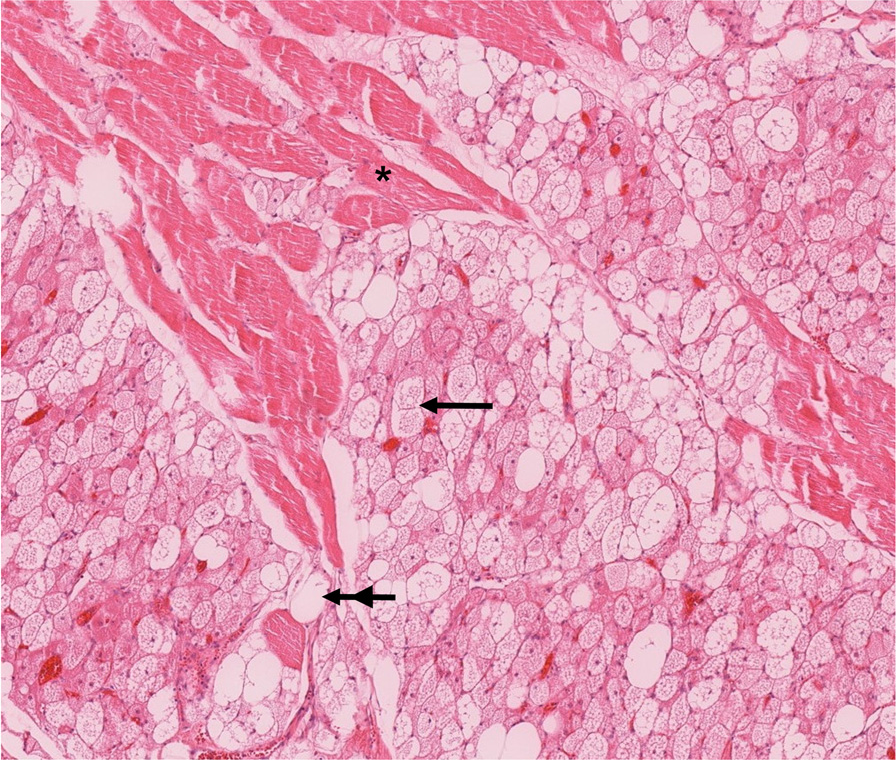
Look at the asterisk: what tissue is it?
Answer: Skeletal muscle fibers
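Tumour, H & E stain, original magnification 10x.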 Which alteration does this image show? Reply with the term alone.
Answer: dissecting between skeletal muscle fibers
